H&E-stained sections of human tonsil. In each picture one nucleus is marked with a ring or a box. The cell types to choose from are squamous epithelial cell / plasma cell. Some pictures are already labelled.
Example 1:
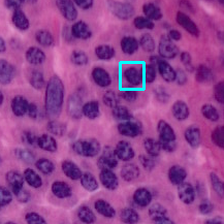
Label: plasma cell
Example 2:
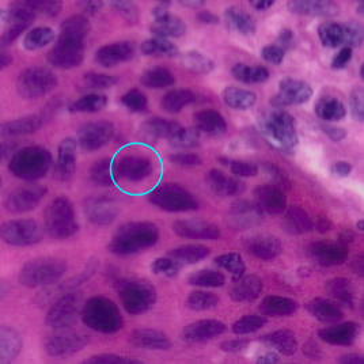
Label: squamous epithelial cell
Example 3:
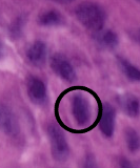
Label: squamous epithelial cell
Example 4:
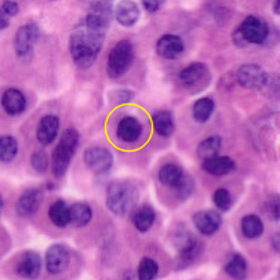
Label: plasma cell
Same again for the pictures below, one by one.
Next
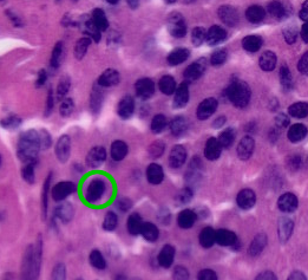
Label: plasma cell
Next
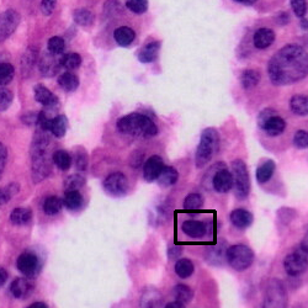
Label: plasma cell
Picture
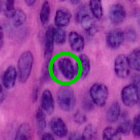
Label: plasma cell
